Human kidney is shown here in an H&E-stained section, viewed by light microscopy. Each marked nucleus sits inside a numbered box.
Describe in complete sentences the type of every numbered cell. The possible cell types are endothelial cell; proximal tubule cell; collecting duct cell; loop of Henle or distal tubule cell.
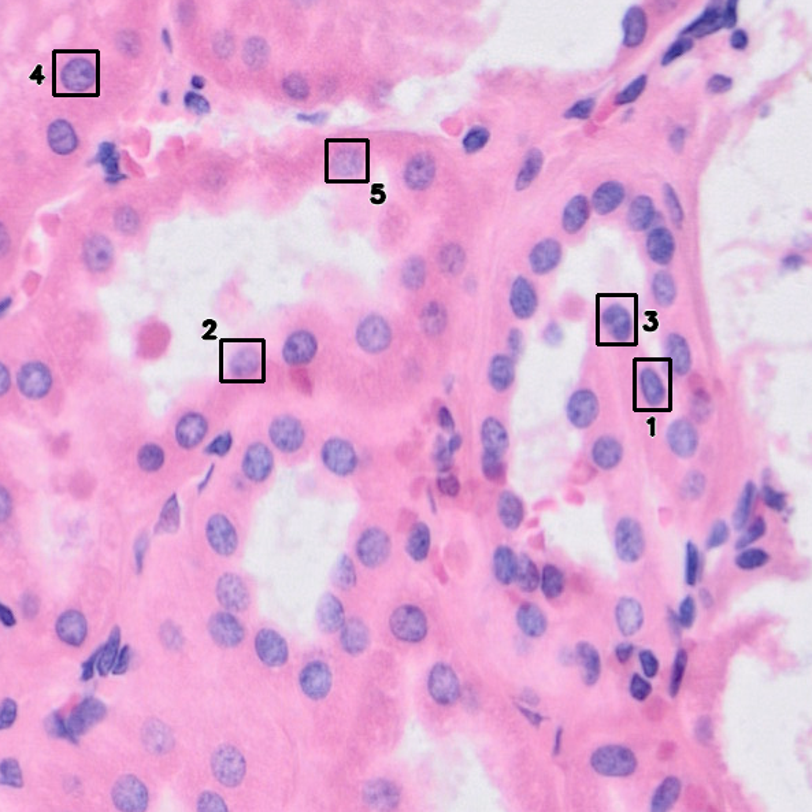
Cell 1 is a loop of Henle or distal tubule cell, cell 2 is a proximal tubule cell, cell 3 is a loop of Henle or distal tubule cell, cell 4 is a proximal tubule cell and cell 5 is a proximal tubule cell.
